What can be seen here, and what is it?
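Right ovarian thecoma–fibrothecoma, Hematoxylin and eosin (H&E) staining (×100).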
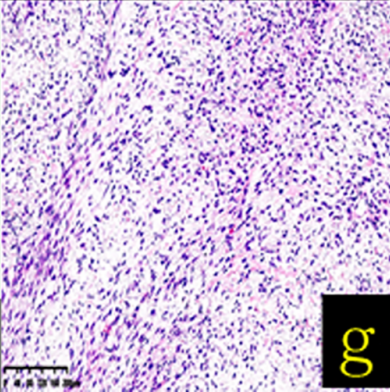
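This is a tumor made of spindle cells set among pale pink collagen fibers, with the cells gathered into interwoven bundles. The purple nuclei are fusiform to oval and the cytoplasm around them is scant and hard to make out. A denser band of parallel cells runs diagonally on the left, while elsewhere the cells lie more loosely spaced in a pale, lightly stained background.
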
